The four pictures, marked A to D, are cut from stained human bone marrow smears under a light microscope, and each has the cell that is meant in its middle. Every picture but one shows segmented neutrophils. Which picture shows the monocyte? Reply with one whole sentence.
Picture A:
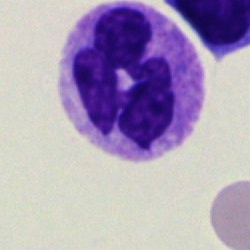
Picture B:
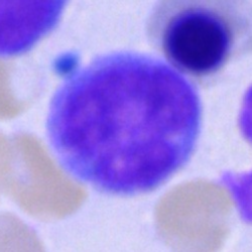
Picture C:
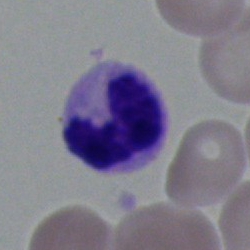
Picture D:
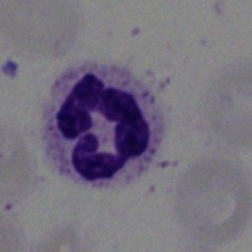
Picture B is the one that shows the monocyte.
